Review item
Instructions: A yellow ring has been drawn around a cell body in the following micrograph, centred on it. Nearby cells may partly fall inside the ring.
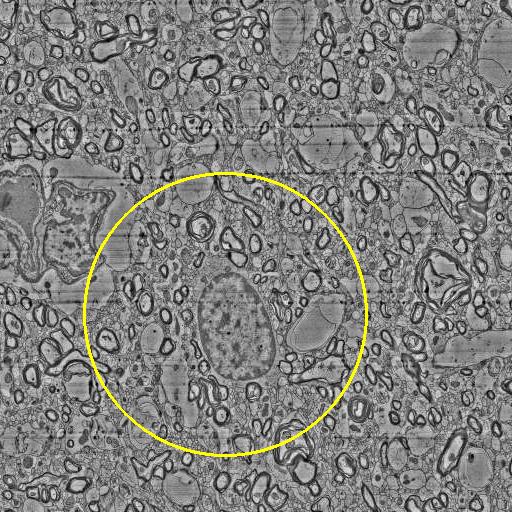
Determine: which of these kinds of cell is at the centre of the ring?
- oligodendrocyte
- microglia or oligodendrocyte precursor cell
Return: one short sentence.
The cell body in the middle of the ring is that of an oligodendrocyte.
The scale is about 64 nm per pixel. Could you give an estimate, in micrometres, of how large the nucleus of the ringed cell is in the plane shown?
The ringed cell's nucleus is roughly 7 by 5 micrometres and clearly longer than it is wide in this plane.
